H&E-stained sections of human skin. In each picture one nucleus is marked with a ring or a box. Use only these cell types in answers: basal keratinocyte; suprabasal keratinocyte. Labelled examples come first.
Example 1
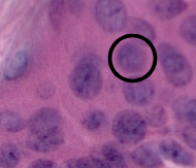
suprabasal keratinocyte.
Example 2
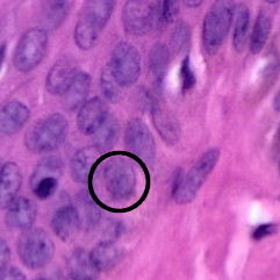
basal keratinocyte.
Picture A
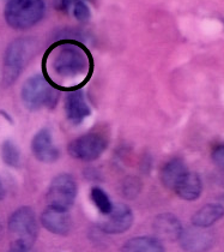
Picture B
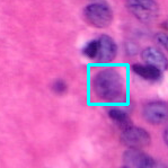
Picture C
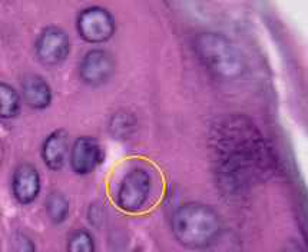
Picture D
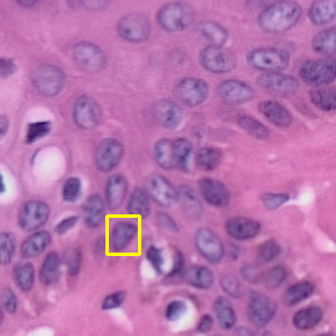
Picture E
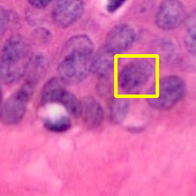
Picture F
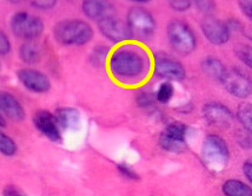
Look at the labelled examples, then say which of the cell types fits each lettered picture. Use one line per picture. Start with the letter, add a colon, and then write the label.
A: basal keratinocyte.
B: basal keratinocyte.
C: suprabasal keratinocyte.
D: basal keratinocyte.
E: basal keratinocyte.
F: basal keratinocyte.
